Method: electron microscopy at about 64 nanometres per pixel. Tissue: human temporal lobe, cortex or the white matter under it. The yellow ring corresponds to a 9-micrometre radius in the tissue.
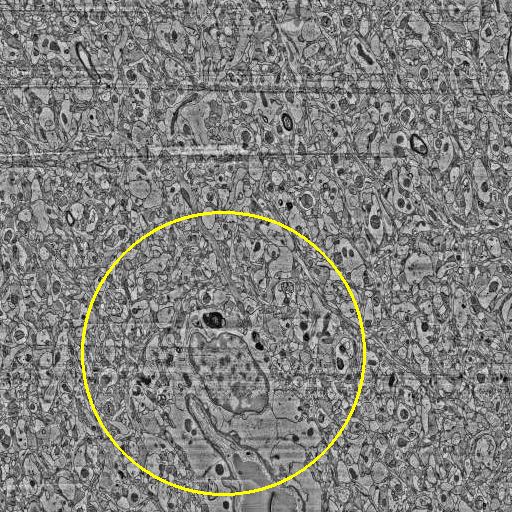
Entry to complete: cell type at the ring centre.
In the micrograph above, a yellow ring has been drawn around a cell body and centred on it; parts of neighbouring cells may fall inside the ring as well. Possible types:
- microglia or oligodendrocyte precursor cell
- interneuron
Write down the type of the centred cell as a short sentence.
The ring is centred on a microglial cell or oligodendrocyte precursor cell.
